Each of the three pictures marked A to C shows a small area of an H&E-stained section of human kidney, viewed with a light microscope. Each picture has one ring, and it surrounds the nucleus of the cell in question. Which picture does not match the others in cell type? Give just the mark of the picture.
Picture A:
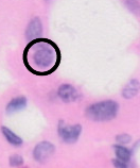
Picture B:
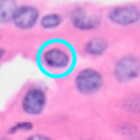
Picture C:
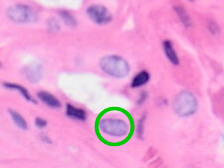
B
